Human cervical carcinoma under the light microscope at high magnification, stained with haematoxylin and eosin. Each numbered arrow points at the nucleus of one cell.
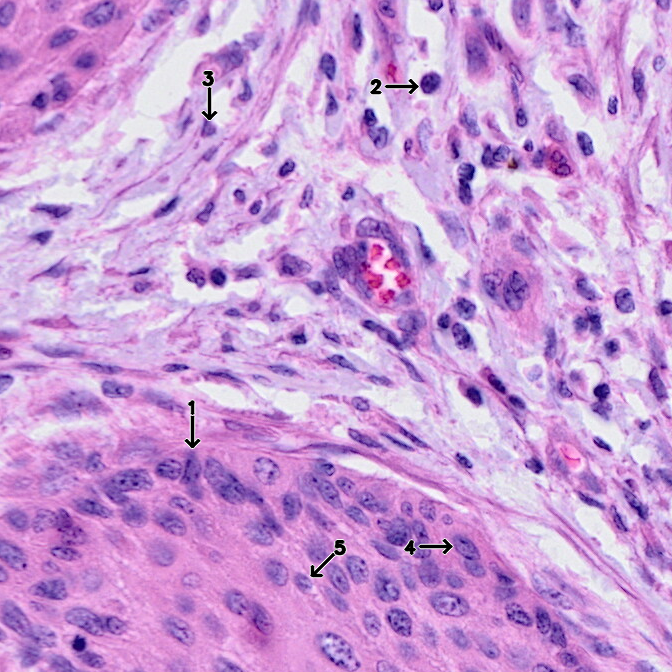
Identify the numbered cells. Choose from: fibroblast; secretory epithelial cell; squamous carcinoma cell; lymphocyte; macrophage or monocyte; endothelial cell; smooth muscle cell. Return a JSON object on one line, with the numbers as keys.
{"1": "squamous carcinoma cell", "2": "lymphocyte", "3": "fibroblast", "4": "squamous carcinoma cell", "5": "squamous carcinoma cell"}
